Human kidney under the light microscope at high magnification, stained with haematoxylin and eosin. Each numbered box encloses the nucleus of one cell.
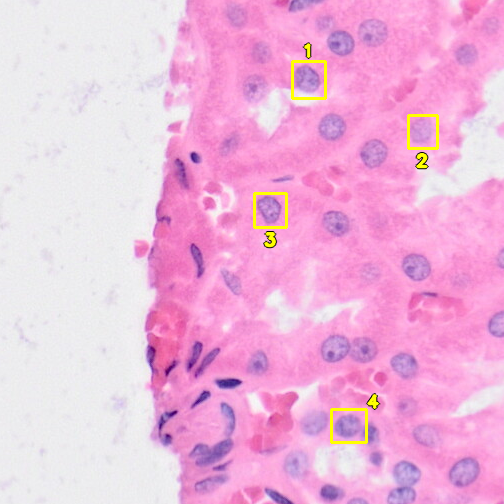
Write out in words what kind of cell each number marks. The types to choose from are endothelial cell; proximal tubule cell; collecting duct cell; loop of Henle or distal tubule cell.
Cell 1 is a proximal tubule cell, cell 2 is a proximal tubule cell, cell 3 is a proximal tubule cell and cell 4 is a collecting duct cell.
